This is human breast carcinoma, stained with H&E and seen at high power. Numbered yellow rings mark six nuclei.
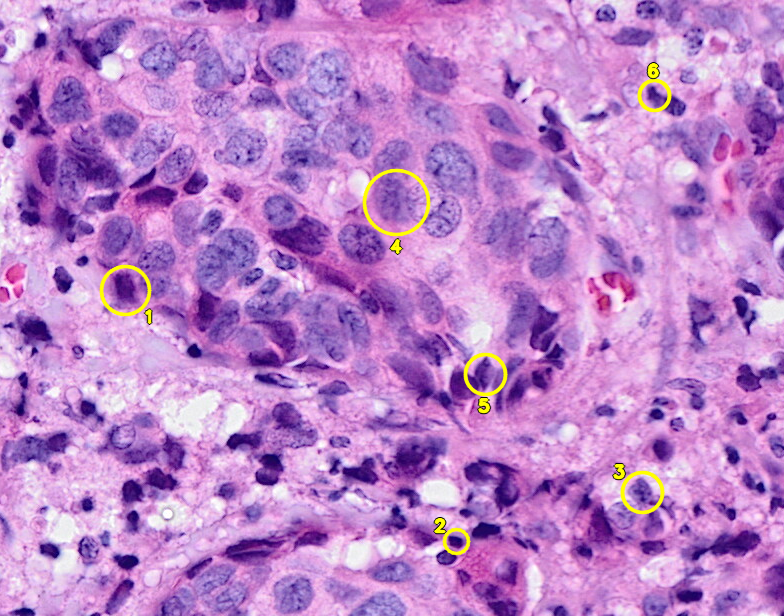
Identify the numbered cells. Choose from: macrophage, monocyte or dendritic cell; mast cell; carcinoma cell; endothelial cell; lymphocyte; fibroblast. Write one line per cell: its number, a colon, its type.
1: carcinoma cell
2: lymphocyte
3: lymphocyte
4: carcinoma cell
5: carcinoma cell
6: lymphocyte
